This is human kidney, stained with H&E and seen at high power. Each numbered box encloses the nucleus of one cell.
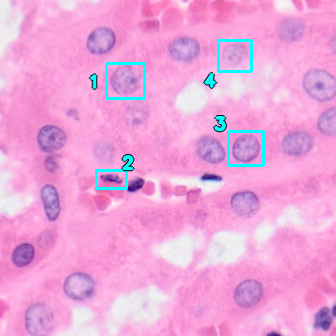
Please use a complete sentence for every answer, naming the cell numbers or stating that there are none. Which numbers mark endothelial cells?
Cell 2 is an endothelial cell, and that holds for no other numbered cell.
